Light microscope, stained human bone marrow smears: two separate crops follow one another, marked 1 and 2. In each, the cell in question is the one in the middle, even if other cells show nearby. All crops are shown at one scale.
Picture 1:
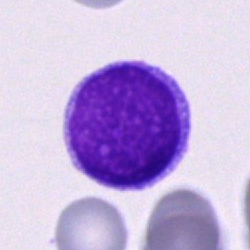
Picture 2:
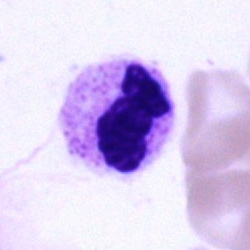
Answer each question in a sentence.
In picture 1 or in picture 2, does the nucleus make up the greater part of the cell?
The nucleus fills more of the cell in picture 1 than in picture 2.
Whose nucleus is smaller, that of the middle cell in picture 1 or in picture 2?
It is the nucleus in picture 2; the one in picture 1 has about 2.5 times its area.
